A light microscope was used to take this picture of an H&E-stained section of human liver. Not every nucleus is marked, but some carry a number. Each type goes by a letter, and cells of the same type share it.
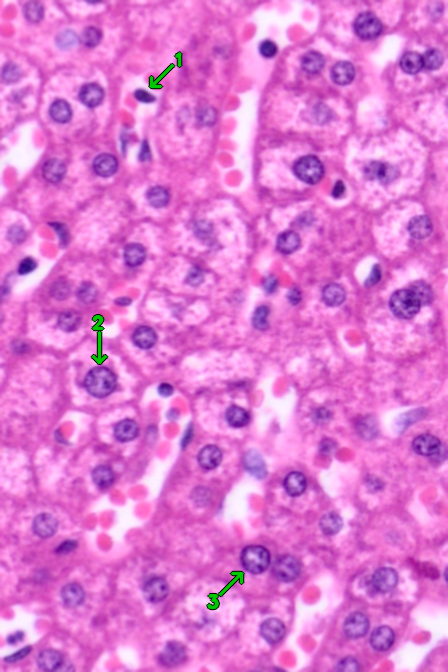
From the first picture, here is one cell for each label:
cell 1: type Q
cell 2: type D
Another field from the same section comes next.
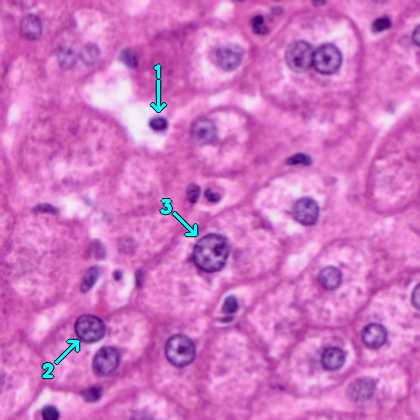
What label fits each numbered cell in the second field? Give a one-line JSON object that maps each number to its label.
{"1": "type Q", "2": "type D", "3": "type D"}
